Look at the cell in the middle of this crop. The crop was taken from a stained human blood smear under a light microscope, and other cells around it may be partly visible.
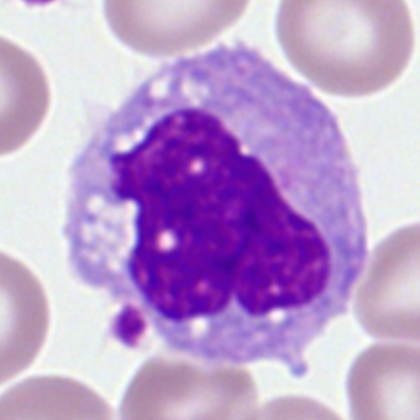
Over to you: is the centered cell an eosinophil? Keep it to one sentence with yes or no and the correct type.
No, the central cell is classed as a monocyte and not as an eosinophil.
